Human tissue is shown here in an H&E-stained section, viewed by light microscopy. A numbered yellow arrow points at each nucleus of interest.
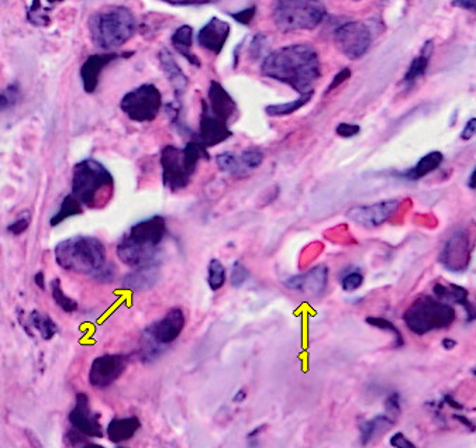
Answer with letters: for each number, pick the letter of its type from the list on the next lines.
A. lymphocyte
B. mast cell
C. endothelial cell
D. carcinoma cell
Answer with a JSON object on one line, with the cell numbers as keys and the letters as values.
{"1": "C", "2": "D"}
